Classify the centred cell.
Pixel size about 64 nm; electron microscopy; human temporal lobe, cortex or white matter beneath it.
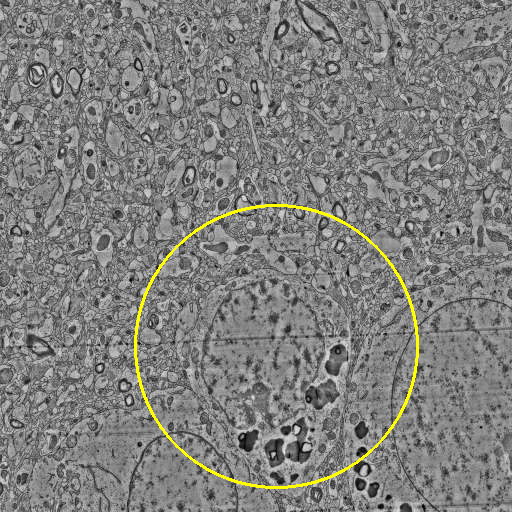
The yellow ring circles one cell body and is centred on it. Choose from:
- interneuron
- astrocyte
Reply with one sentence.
The ring is centred on an interneuron.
